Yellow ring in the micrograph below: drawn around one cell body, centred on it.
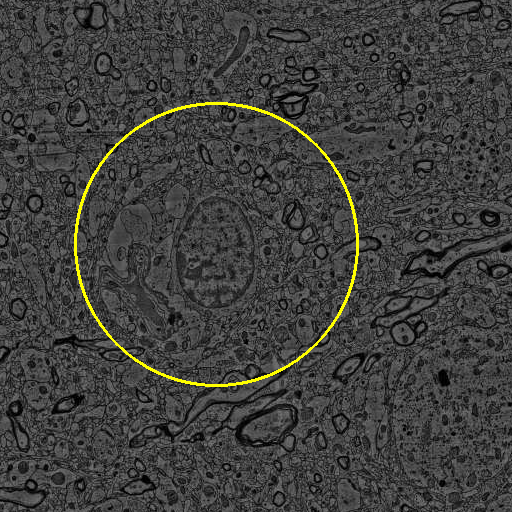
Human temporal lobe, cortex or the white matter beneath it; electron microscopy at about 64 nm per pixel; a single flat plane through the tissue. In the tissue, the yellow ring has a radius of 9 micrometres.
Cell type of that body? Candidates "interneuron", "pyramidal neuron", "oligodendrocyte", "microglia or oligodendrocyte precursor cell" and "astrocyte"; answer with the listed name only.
oligodendrocyte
